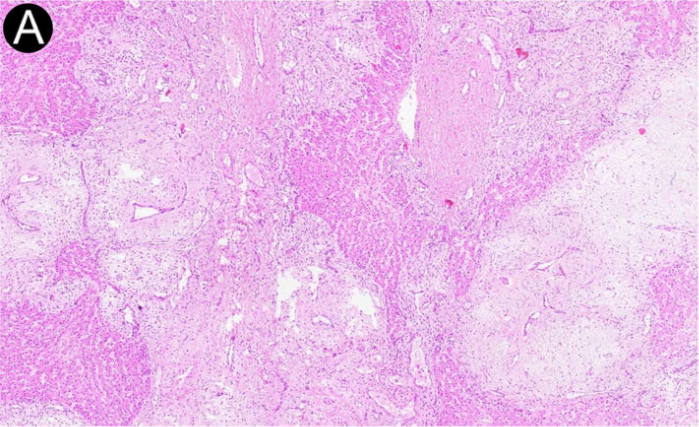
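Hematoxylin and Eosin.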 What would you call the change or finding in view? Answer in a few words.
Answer: Disordered arrangement of hepatic parenchyma, bile ducts, and spindled cells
